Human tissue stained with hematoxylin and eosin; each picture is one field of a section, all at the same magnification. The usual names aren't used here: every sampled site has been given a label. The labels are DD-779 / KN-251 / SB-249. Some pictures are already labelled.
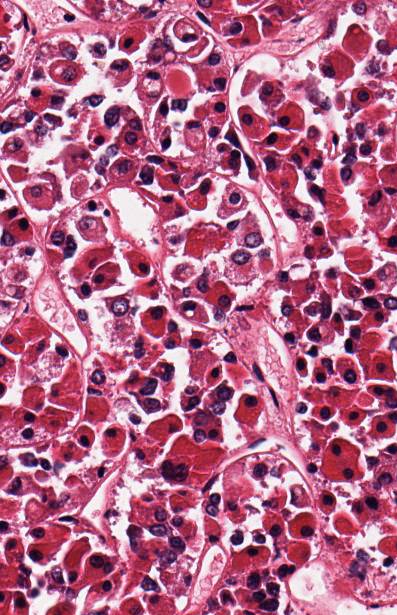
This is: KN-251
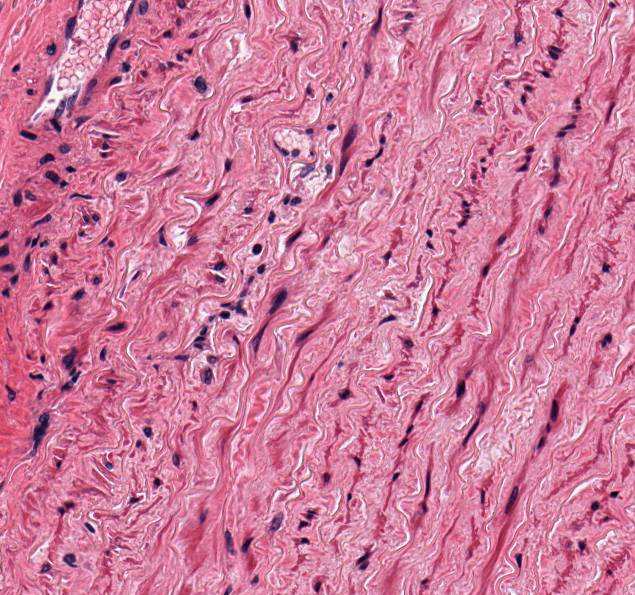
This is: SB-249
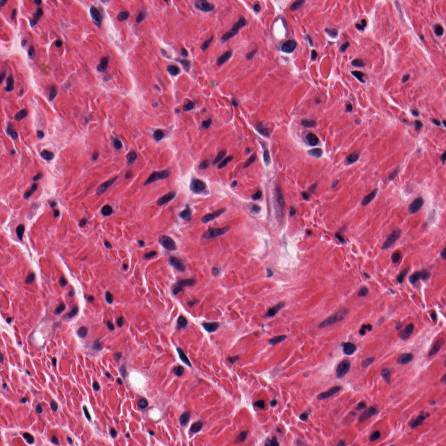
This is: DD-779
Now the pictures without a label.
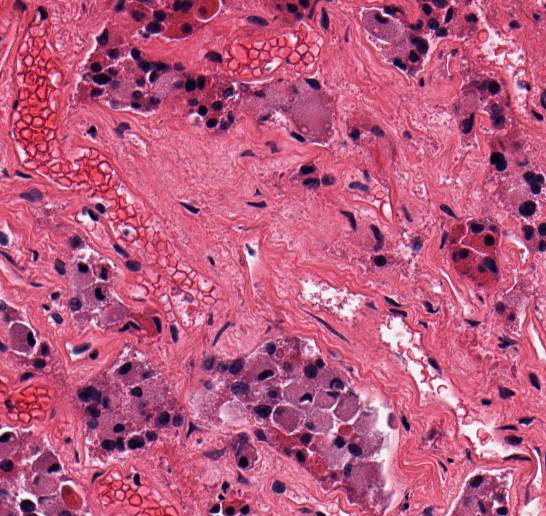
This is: KN-251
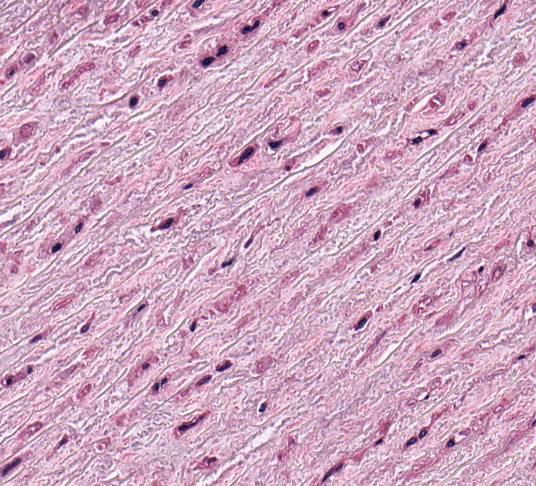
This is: SB-249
